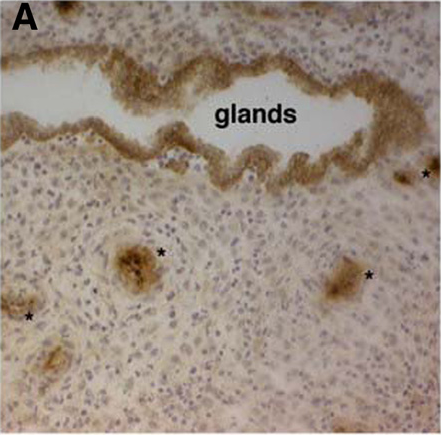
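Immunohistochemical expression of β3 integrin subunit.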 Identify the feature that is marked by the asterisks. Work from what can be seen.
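Endometrial blood vessel. Each asterisk sits beside a small rounded brown-stained structure in the stroma. The brown structures are small focal clusters, set apart from the gland.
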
